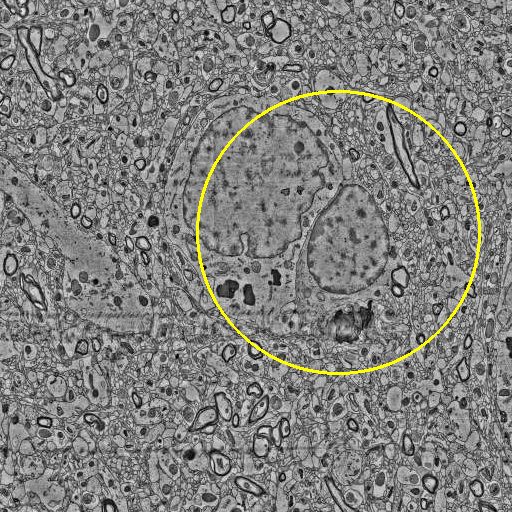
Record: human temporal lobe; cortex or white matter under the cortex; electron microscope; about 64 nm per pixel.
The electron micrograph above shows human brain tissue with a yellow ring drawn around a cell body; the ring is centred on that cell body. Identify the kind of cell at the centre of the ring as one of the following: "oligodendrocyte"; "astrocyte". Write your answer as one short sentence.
The cell at the centre of the ring is an oligodendrocyte.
